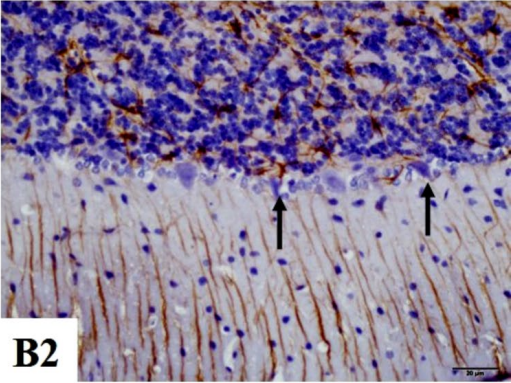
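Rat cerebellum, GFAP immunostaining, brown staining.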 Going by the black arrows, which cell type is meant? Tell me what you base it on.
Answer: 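The arrows point to large cell bodies in a single row between the dense granular layer and the pale molecular layer. These cells are much larger than the small dark granule cell nuclei above them.
Hence: Purkinje Neuron.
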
